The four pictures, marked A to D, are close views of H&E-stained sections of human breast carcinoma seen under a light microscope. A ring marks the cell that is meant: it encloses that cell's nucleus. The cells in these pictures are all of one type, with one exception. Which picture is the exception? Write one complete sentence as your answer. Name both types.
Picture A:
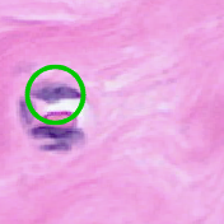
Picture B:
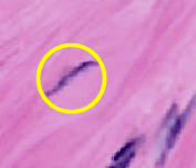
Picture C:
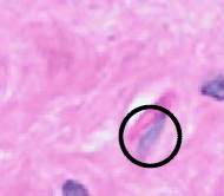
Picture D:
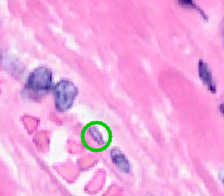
Unlike the rest, which show endothelial cells, picture B shows a fibroblast.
